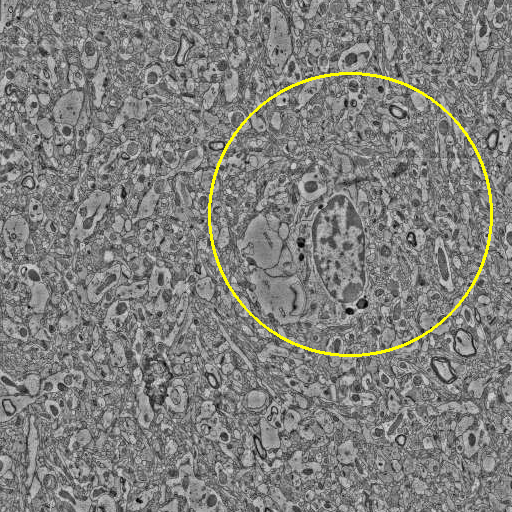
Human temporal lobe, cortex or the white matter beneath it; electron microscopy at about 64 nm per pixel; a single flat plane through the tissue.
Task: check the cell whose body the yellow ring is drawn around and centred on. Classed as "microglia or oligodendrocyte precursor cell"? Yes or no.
Yes, it is classed that way.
